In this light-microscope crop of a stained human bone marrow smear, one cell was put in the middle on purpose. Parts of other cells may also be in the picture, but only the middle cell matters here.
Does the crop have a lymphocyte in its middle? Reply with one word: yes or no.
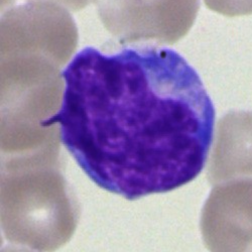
no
